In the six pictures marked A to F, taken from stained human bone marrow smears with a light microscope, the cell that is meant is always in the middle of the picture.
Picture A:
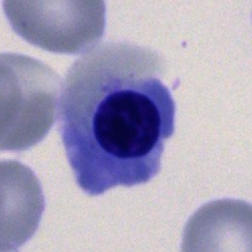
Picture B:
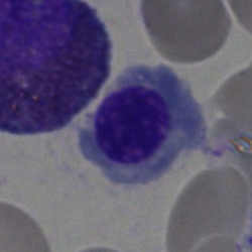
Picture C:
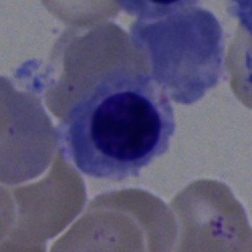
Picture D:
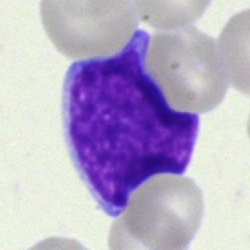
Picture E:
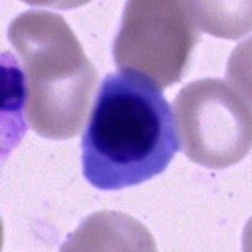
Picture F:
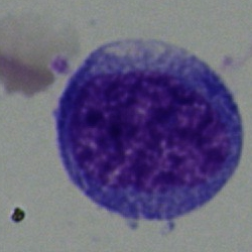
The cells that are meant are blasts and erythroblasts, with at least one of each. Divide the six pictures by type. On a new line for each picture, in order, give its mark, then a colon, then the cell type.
A: erythroblast
B: erythroblast
C: erythroblast
D: blast
E: erythroblast
F: blast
